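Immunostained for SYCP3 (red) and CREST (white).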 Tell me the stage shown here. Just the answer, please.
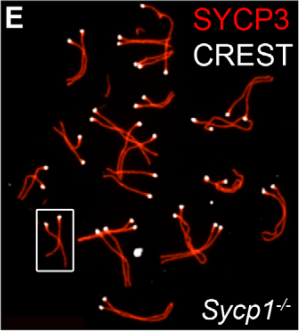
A: diplotene-like nucleus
